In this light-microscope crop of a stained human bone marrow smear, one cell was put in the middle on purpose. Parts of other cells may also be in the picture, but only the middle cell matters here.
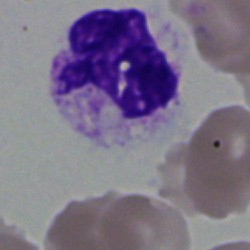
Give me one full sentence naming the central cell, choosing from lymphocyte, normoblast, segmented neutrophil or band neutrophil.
Located at the centre of the crop is a segmented neutrophil.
